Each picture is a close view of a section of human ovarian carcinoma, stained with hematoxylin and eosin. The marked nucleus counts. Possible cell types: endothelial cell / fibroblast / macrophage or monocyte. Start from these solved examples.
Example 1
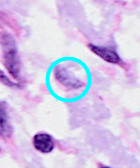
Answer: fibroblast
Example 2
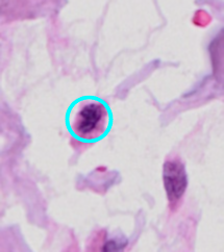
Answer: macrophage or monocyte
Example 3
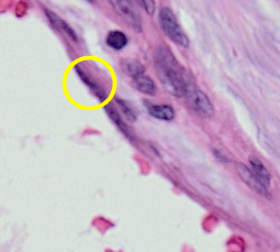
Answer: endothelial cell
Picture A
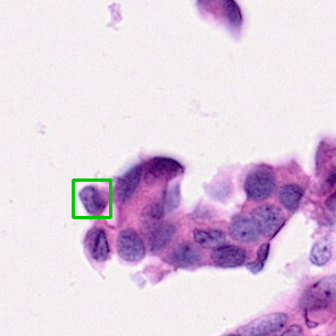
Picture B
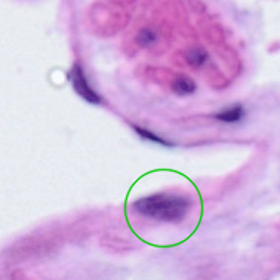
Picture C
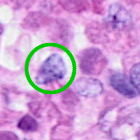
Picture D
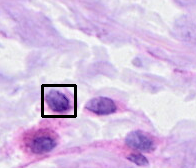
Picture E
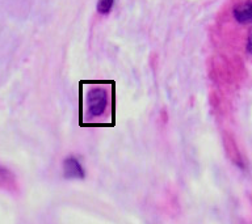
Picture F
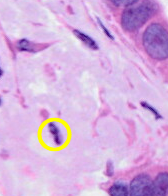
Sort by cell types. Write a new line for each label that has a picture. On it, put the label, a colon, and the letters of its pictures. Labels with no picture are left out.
endothelial cell: B
fibroblast: F
macrophage or monocyte: A, C, D, E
